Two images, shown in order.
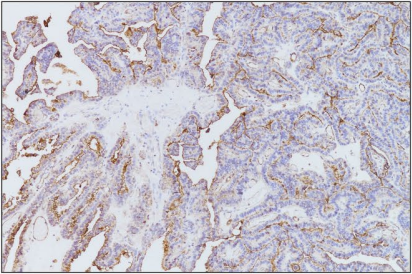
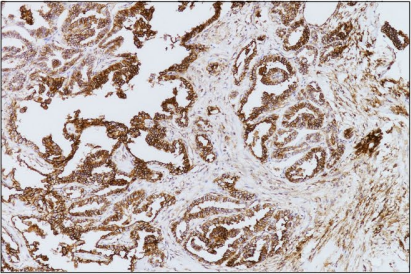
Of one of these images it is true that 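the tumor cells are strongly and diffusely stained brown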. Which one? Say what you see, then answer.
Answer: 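The second image. Second image: tumor epithelium is dark brown throughout. First image: tumor epithelium is mostly pale blue with brown only faint or along cell borders.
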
